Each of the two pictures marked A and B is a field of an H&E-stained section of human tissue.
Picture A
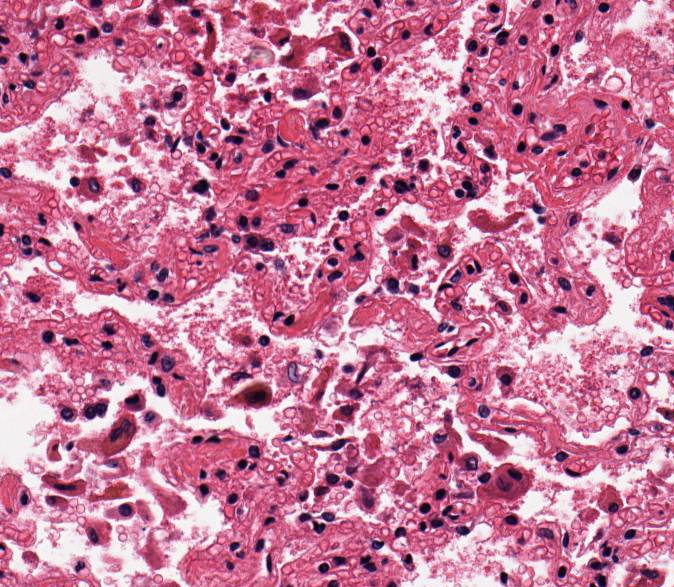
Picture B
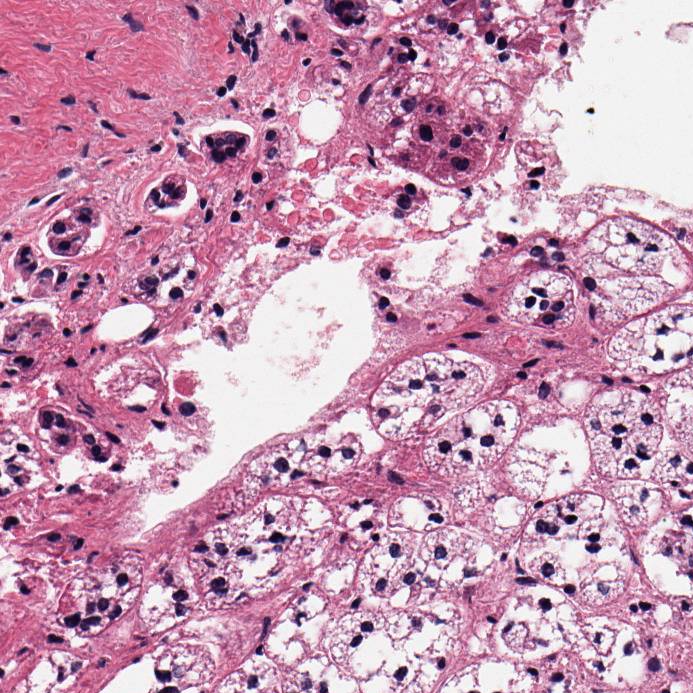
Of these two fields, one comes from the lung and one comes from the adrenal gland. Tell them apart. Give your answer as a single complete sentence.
Picture A comes from the lung; picture B comes from the adrenal gland.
